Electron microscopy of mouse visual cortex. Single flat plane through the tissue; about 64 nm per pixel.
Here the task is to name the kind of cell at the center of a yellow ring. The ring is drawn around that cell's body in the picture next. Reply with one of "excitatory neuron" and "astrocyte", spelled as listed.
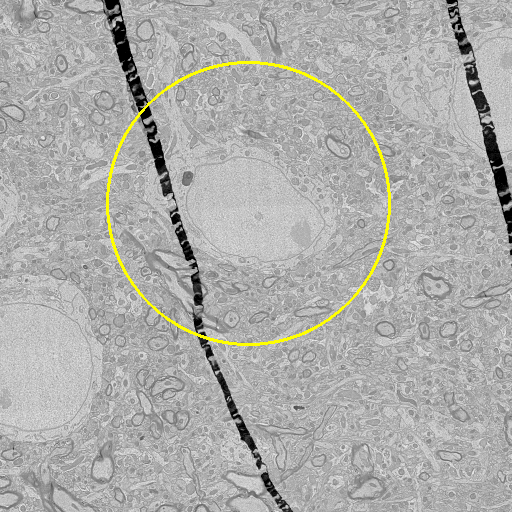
excitatory neuron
